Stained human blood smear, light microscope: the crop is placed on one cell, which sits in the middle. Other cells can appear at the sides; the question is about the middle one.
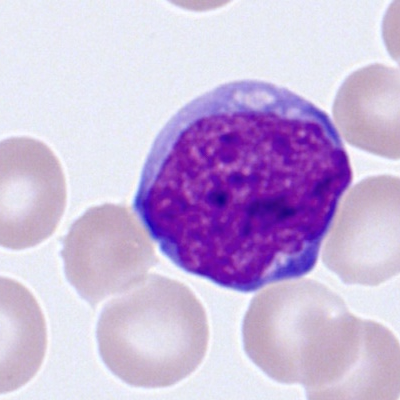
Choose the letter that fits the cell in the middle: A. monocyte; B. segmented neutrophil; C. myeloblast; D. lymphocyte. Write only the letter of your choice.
C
